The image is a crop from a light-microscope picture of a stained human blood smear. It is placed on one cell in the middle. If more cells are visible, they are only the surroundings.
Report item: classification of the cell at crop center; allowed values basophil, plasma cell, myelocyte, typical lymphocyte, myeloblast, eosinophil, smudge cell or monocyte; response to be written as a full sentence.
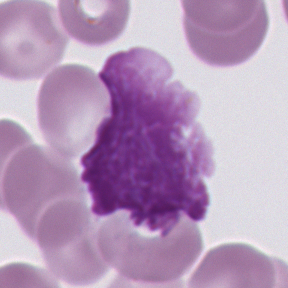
In the center of this field lies a smudge cell.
